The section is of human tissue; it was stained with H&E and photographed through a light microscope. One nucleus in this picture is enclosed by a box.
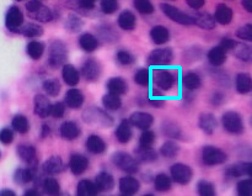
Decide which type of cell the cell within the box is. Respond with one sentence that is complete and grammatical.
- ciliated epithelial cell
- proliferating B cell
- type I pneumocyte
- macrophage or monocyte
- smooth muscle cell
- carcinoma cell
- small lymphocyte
In cellular terms, the cell within the box is a small lymphocyte.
